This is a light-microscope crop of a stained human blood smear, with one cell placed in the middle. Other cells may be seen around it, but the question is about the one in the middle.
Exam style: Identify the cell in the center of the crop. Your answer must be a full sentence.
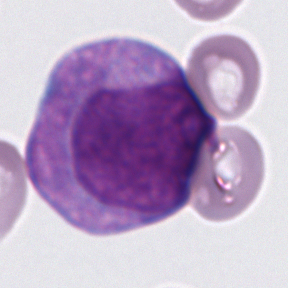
The cell found in the middle of this crop is an atypical promyelocyte.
